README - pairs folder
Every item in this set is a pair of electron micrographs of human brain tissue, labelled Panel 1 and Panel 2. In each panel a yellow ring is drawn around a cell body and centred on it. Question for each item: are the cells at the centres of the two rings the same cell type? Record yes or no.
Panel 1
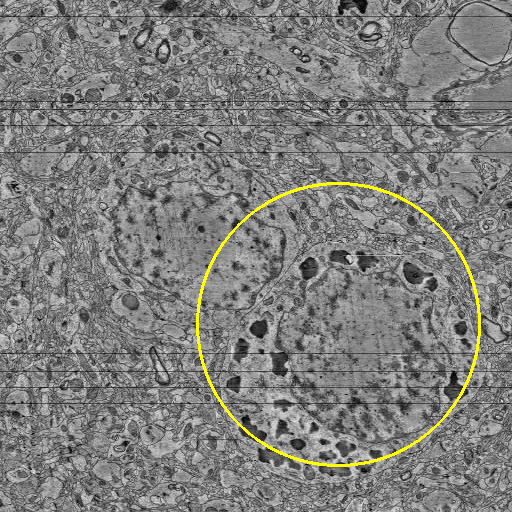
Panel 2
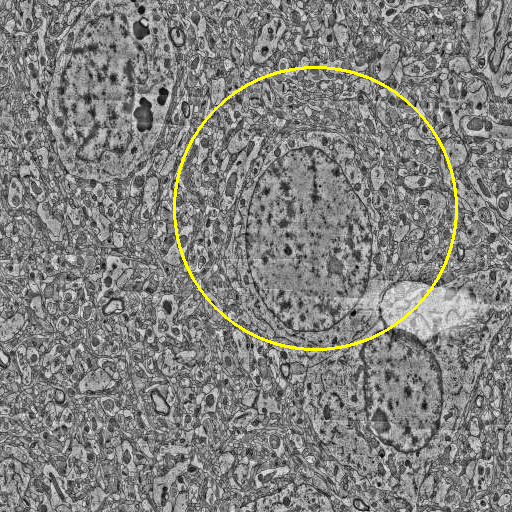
no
